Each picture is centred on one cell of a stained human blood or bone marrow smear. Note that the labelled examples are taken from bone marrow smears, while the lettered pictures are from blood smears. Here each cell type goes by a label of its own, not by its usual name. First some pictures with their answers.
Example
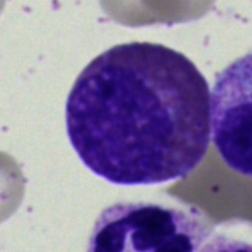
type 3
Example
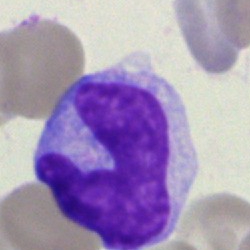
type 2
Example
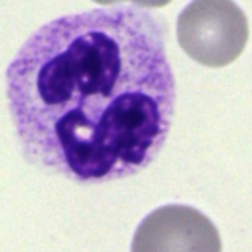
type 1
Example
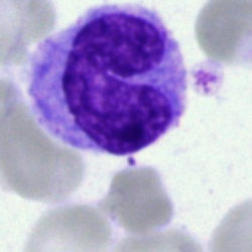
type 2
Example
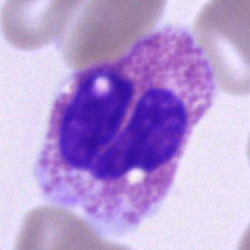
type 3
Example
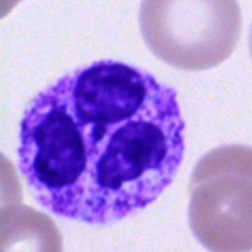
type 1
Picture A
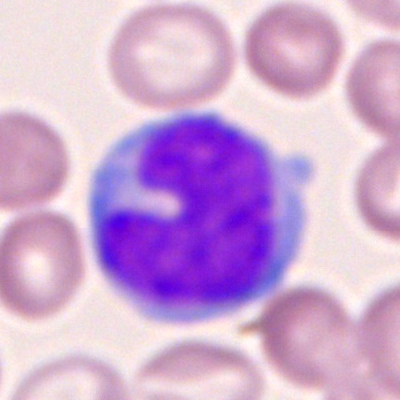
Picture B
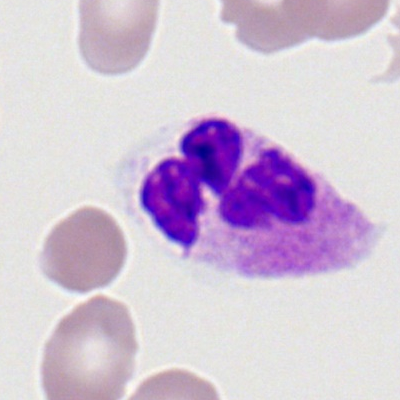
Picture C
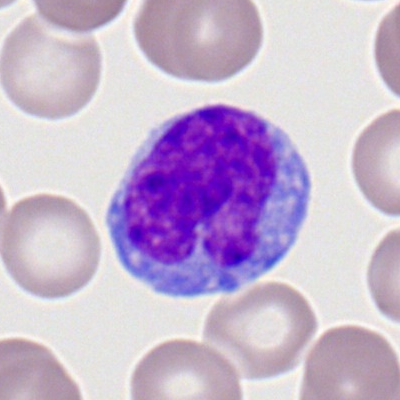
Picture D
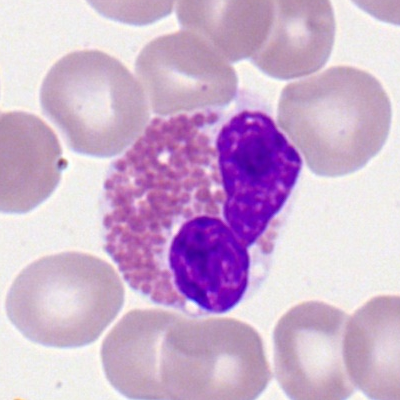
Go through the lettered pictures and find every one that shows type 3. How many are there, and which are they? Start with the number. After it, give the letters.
1, namely D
